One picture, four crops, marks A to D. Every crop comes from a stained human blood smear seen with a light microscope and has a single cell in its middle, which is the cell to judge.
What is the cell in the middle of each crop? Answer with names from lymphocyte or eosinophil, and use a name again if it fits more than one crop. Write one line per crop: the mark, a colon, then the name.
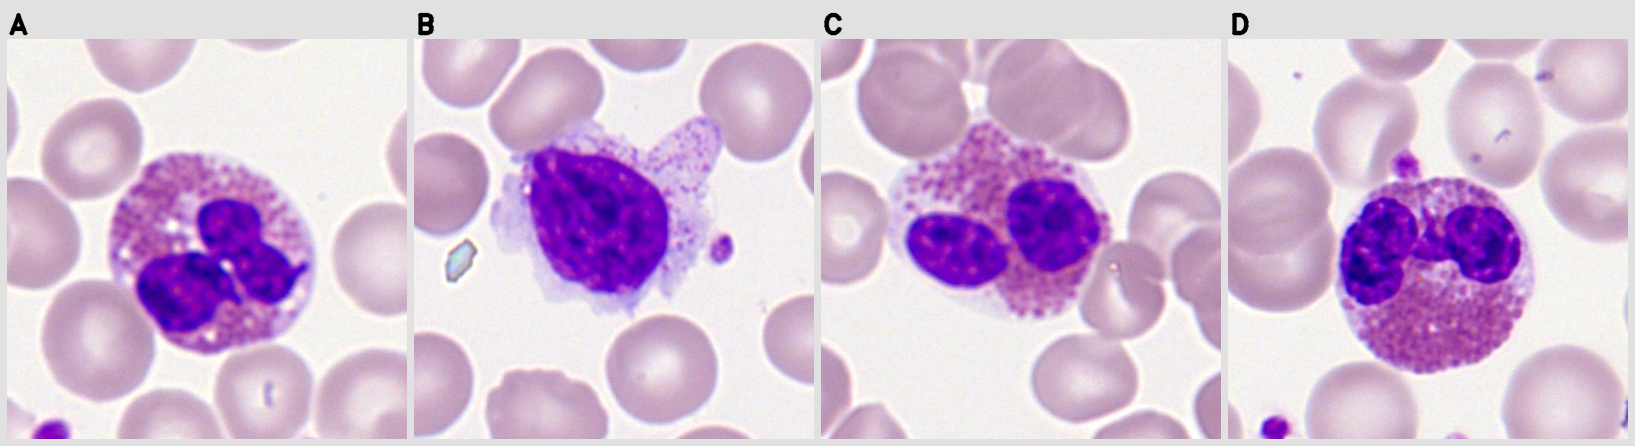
A: eosinophil
B: lymphocyte
C: eosinophil
D: eosinophil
